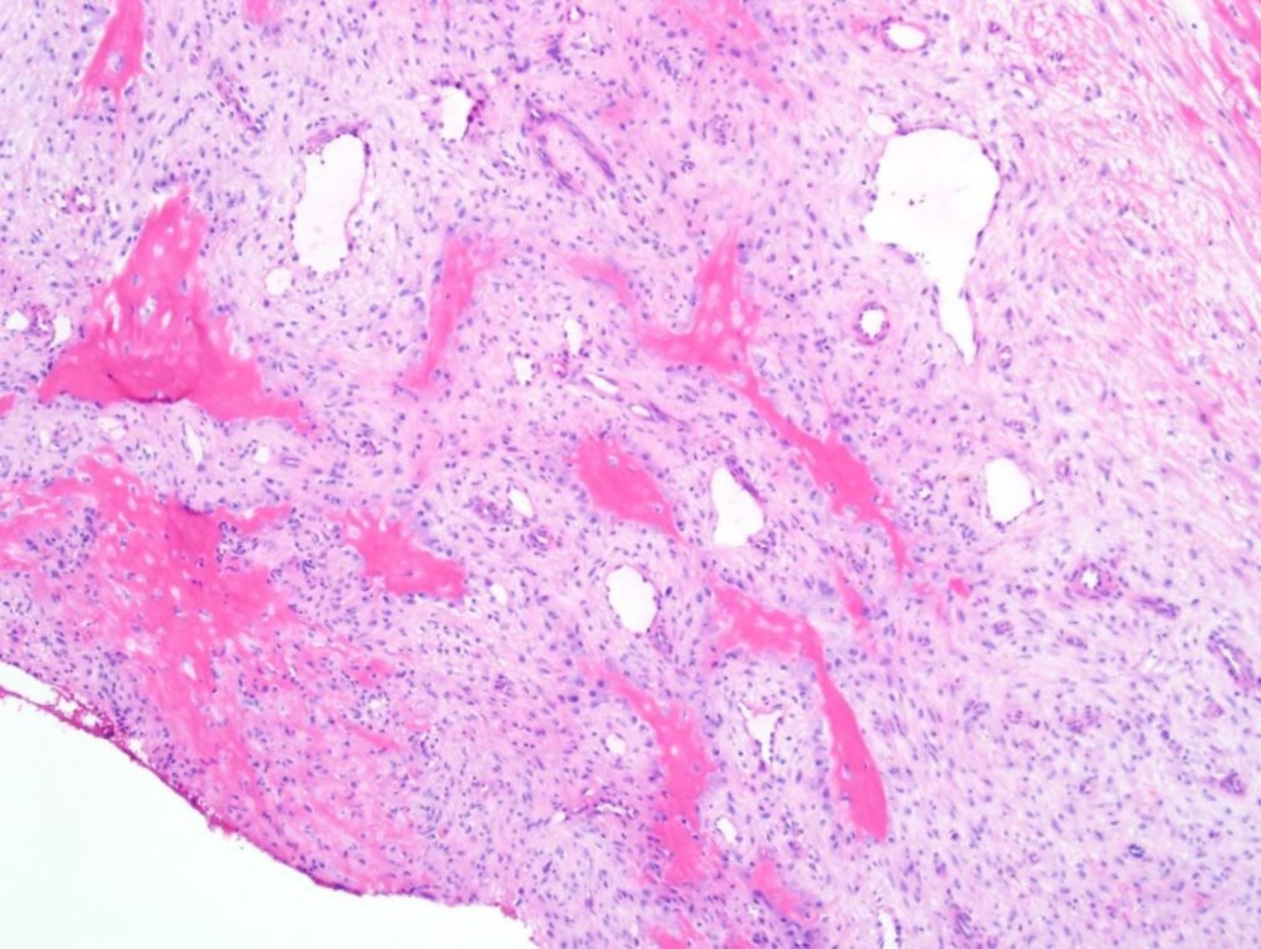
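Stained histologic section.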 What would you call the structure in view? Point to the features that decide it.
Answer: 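Irregular, branching, deeply pink, glassy bands run through the stroma. Small cells sit in lacunae within these pink bands. The bands are bordered by stromal cells.
Hence: osteoid.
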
